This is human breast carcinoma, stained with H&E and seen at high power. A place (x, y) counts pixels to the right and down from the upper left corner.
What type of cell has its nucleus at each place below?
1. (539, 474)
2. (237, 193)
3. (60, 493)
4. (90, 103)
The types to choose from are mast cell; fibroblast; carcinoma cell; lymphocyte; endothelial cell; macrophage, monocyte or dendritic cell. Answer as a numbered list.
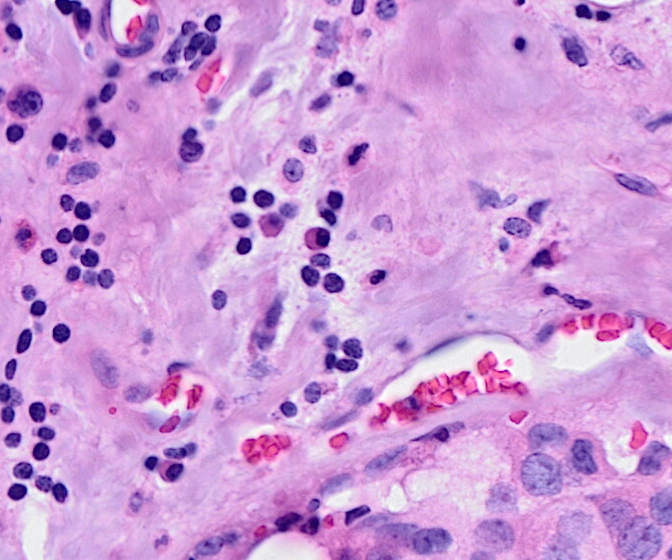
1. carcinoma cell
2. lymphocyte
3. lymphocyte
4. lymphocyte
